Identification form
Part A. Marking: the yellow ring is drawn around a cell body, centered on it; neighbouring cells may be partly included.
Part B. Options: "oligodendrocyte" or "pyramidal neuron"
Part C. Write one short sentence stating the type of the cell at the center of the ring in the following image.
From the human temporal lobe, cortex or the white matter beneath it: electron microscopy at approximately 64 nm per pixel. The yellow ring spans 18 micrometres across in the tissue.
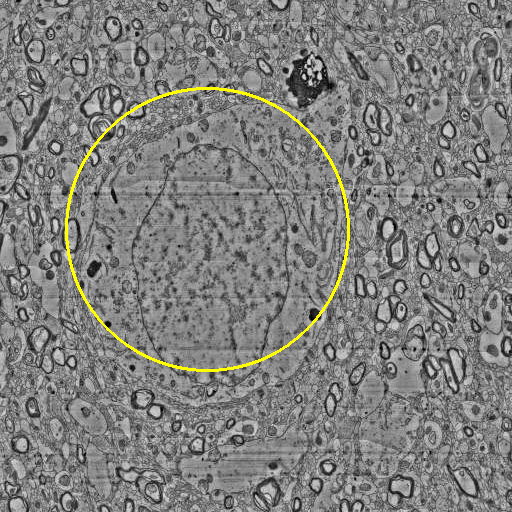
The center of the ring holds a pyramidal neuron.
